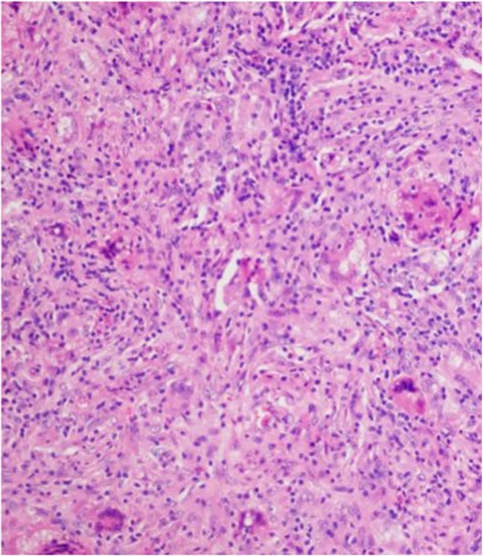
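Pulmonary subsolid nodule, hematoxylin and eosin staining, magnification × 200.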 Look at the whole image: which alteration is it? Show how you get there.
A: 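Many small, round, dark blue nuclei scattered among the pink cells. A denser cluster of small dark nuclei near the upper middle of the field.
Answer: inflammatory cell infiltration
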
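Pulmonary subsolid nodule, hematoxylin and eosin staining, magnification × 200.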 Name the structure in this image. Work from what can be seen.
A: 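Granuloma. Sheets of pale pink cells with elongated, oval nuclei. Several large pink cells containing many nuclei. No normal air spaces; the field is filled with solid cellular tissue.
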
